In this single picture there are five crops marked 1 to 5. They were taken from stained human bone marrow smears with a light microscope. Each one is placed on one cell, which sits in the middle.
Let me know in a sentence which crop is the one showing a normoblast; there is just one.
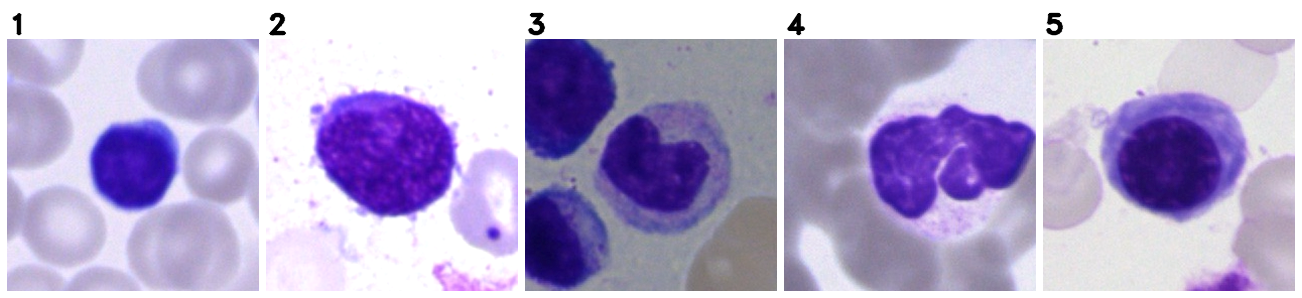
Among the crops, only crop 5 contains a normoblast.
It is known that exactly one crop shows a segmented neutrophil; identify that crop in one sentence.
Among the crops provided, a segmented neutrophil occupies the center of crop 4.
